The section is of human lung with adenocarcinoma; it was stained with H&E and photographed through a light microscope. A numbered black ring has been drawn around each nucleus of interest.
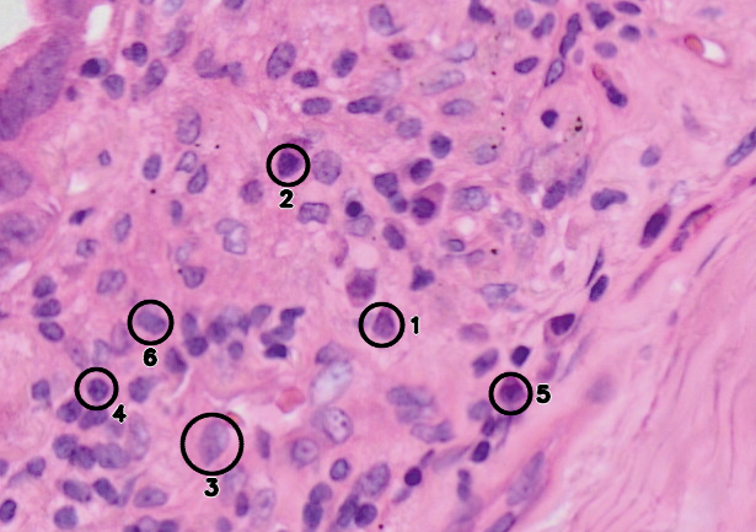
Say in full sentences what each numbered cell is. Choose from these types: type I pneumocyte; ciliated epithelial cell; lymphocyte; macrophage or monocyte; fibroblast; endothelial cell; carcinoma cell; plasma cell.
Cell 1 is a plasma cell, cell 2 is a plasma cell, cell 3 is an endothelial cell, cell 4 is a lymphocyte, cell 5 is a plasma cell and cell 6 is a lymphocyte.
